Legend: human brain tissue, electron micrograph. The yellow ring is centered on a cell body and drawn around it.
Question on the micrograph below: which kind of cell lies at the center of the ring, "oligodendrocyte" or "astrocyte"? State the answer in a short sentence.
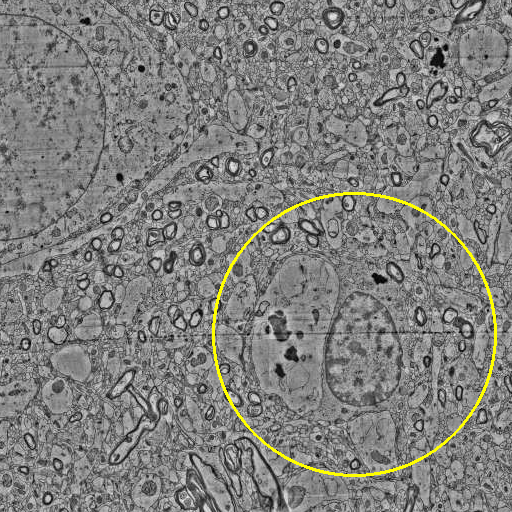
At the center of the ring lies an oligodendrocyte.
